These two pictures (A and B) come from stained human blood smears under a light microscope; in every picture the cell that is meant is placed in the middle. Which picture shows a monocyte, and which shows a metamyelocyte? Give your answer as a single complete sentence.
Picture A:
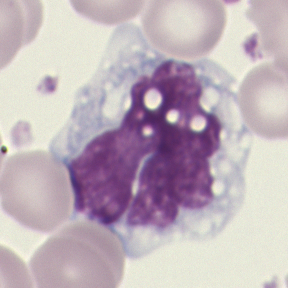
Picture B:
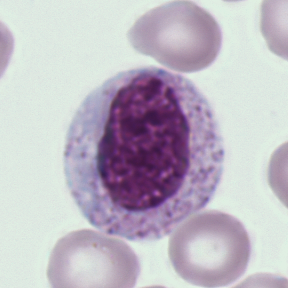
Picture A shows a monocyte and picture B shows a metamyelocyte.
